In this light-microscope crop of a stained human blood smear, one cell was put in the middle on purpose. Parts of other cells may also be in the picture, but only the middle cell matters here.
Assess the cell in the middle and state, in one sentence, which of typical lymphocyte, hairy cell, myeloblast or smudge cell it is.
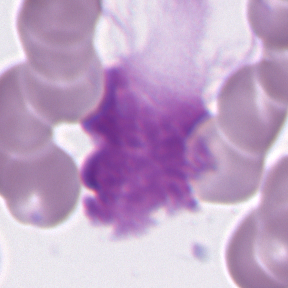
This crop's central cell is a smudge cell.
